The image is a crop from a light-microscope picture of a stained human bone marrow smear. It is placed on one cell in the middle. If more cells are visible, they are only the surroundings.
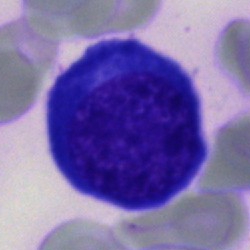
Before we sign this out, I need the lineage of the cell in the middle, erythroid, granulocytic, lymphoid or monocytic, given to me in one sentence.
The lineage of the cell at the center of the crop is erythroid.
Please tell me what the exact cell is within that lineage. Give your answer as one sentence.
The cell at the centre of the field is a proerythroblast.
